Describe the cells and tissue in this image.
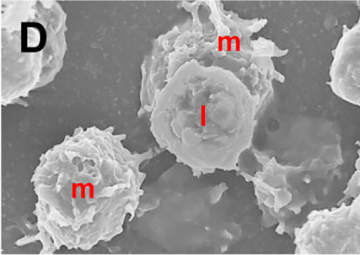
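A central rounded cell with a comparatively smooth, domed surface rests directly on a larger cell whose surface is thrown into ruffles and folds. A second cell at lower left likewise has a rough, ruffled surface. Further cells with irregular surfaces are partly visible at the edges. The rounded smoother cell is in close contact with the ruffled cell beneath it, seated on it rather than separated by a gap.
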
